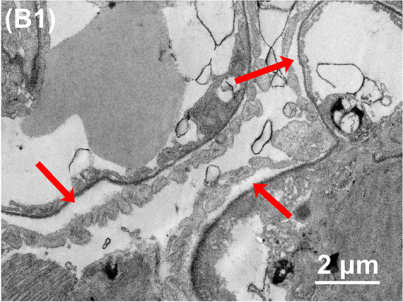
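Glomerular capillary wall in which pale capillary lumina are bounded by a thin, dense basement membrane with a row of small regular podocyte foot processes on its outer side. In several places a clear space separates the podocyte layer from the basement membrane, and thin membrane fragments float in the surrounding spaces.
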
